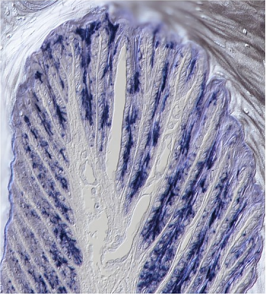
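This is the tip of an epidermal lamella of the hoof, with many secondary epidermal lamellae fanning out like the barbs of a feather. Each secondary lamella is a slender epithelial ridge, separated from its neighbours by thin pale strips of connective tissue. The dark purple stain lies as streaks along the middle of each secondary lamella, where the suprabasal cells sit. The cells lining the outer edges of each ridge, the basal cells, are much paler.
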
